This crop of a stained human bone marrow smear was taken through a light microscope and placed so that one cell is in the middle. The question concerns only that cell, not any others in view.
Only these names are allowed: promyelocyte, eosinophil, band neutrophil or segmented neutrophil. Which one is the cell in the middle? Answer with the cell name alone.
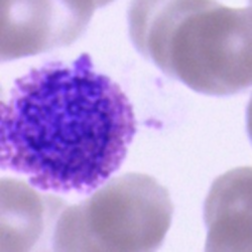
eosinophil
